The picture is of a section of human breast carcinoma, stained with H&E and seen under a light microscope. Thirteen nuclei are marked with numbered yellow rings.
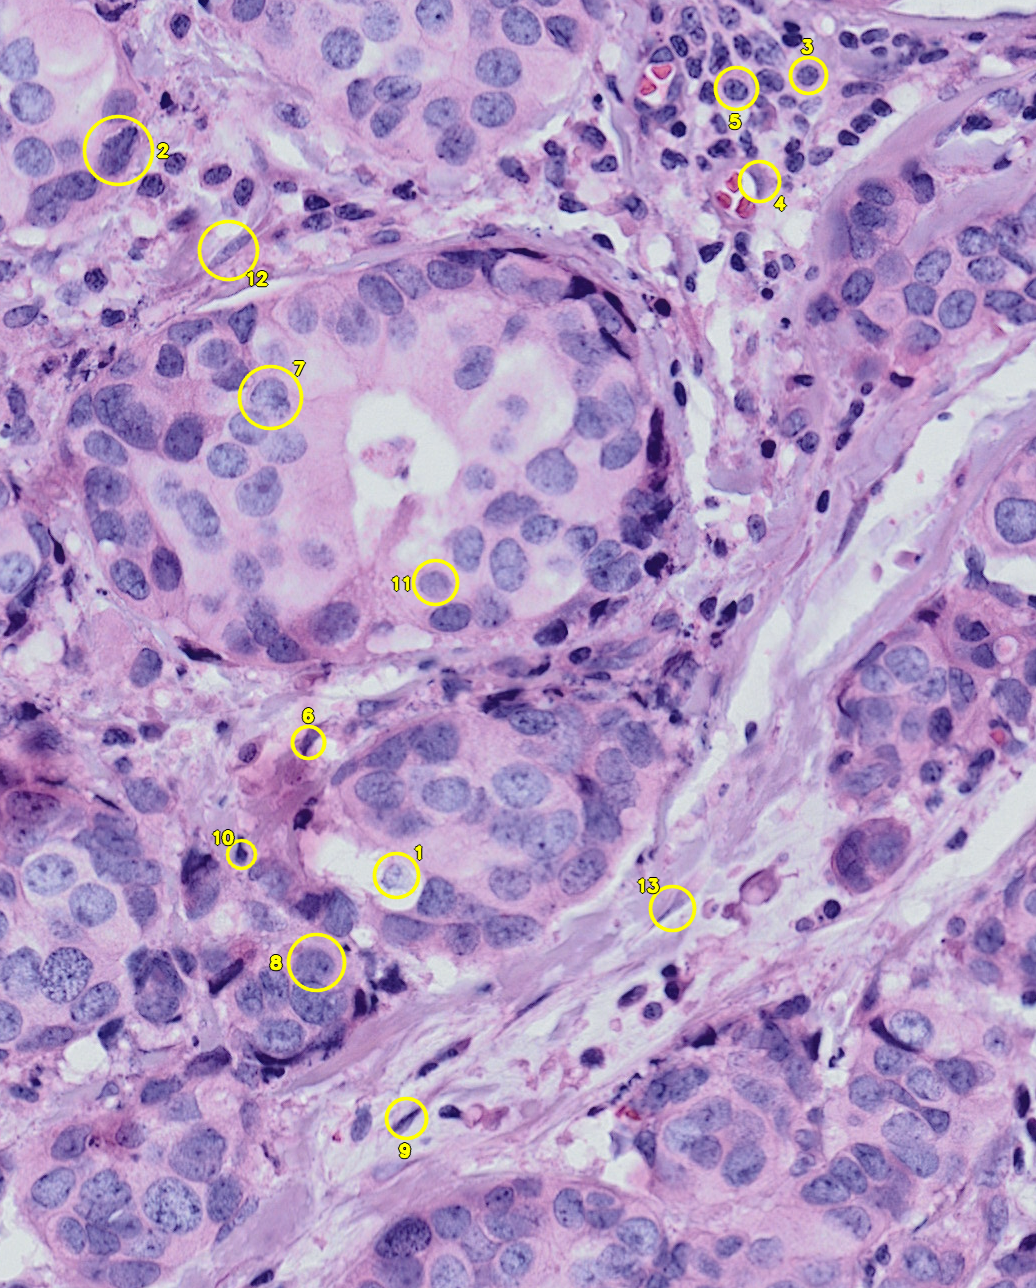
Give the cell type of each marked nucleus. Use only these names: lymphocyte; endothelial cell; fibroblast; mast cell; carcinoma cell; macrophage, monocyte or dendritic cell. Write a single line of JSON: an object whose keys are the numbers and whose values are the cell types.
{"1": "carcinoma cell", "2": "carcinoma cell", "3": "mast cell", "4": "endothelial cell", "5": "mast cell", "6": "fibroblast", "7": "carcinoma cell", "8": "carcinoma cell", "9": "fibroblast", "10": "lymphocyte", "11": "carcinoma cell", "12": "fibroblast", "13": "fibroblast"}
